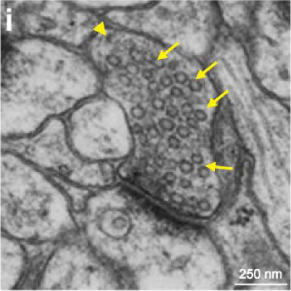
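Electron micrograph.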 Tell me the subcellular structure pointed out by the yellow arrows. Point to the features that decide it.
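Synaptic vesicles. The arrows point to small round clear vesicles of uniform size. The vesicles are clustered densely inside a terminal next to a dark thickened membrane contact.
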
